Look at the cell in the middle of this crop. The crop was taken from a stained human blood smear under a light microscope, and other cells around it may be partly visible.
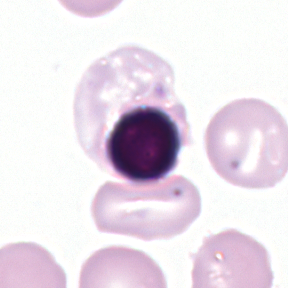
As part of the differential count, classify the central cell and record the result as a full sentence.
The cell featured at the centre of this crop is a normoblast.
